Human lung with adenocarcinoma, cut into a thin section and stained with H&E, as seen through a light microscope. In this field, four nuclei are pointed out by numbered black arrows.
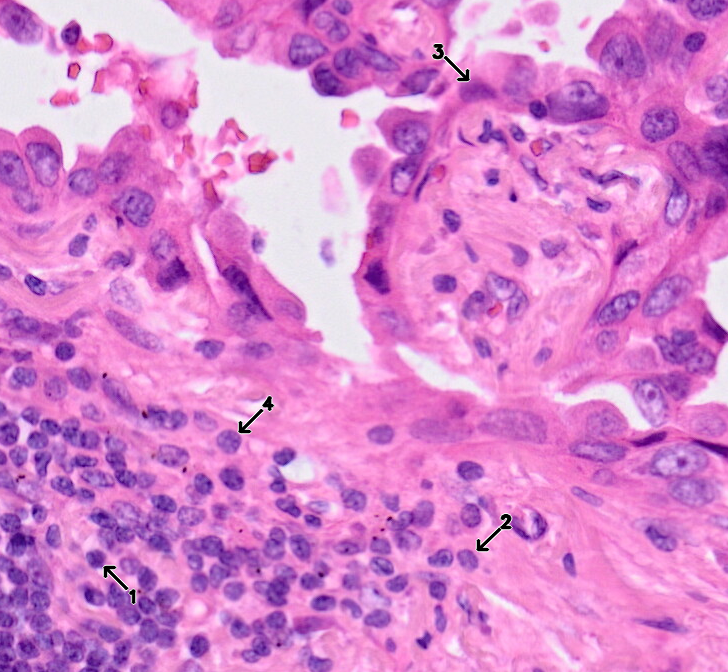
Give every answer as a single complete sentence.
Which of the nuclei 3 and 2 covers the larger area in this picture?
Nucleus 3 is the larger one, covering about 2 times the area of nucleus 2.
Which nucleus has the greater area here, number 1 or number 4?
Nucleus 4 is the larger one, covering about 1.5 times the area of nucleus 1.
